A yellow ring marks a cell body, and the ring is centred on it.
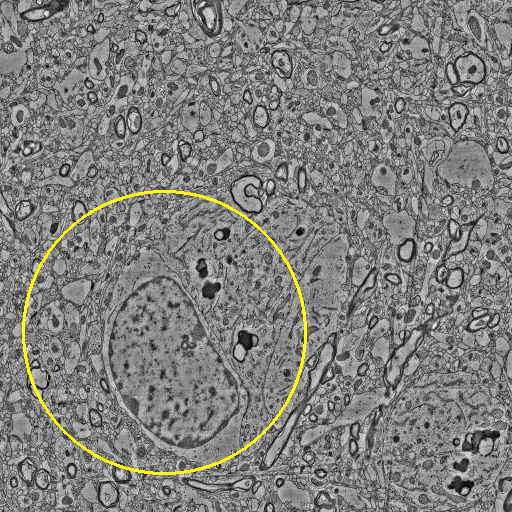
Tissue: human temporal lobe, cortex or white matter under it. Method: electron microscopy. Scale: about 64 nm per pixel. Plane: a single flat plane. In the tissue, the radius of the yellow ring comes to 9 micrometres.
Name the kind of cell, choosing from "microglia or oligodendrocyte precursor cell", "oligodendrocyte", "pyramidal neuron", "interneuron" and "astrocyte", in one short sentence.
The marked cell body belongs to a microglial cell or oligodendrocyte precursor cell.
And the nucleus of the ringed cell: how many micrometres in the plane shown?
In this plane the nucleus measures roughly 11 by 7 micrometres.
